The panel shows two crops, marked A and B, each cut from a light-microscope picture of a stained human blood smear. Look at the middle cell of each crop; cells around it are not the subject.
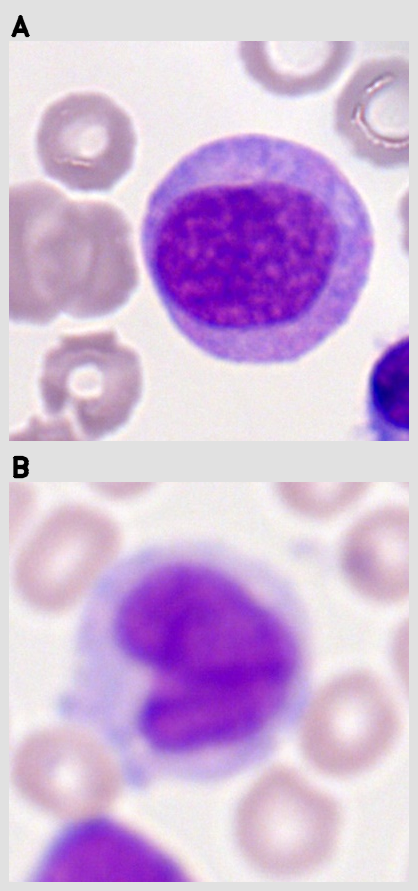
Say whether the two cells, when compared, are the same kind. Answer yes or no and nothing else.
yes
